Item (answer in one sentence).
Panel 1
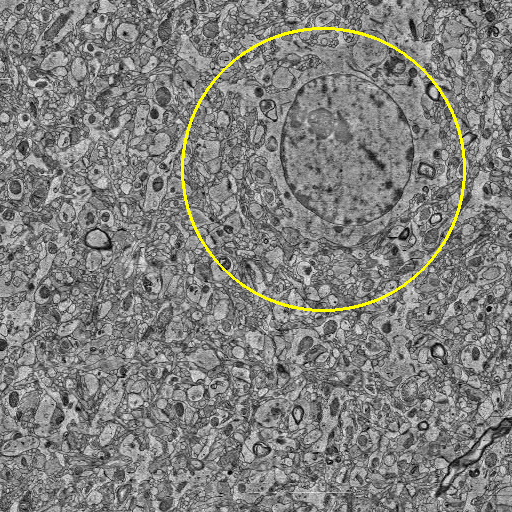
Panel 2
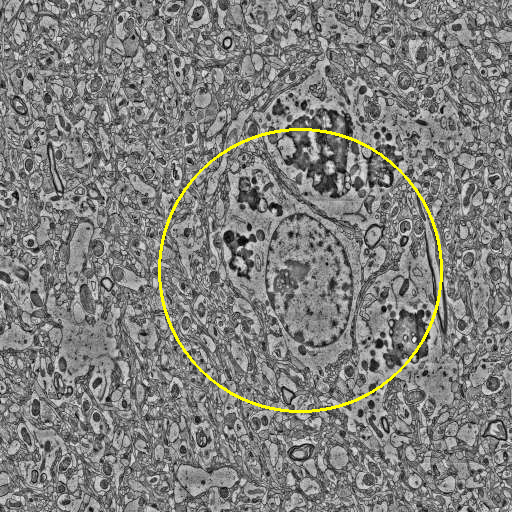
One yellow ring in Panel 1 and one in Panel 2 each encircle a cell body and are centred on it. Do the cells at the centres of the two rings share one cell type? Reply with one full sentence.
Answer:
Yes, Panel 1 and Panel 2 show cells of one type at the centres of their rings.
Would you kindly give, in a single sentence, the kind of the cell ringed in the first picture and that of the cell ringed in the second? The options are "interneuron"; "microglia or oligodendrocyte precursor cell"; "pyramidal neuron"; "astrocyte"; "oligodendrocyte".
The first and the second cell are each an astrocyte.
